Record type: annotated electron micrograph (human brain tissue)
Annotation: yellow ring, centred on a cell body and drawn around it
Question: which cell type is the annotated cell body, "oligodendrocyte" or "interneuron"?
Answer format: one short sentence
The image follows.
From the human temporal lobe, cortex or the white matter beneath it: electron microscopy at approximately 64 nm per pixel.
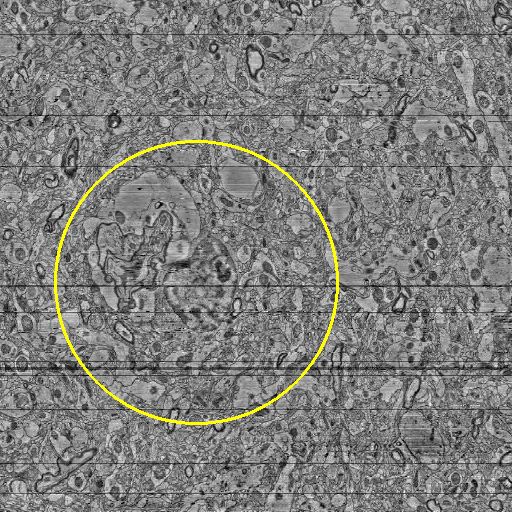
The annotated cell body is that of an oligodendrocyte.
